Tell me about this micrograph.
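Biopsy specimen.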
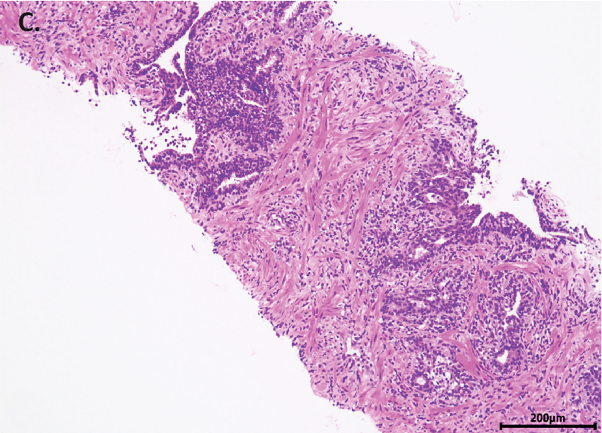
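This is a narrow strip of prostate tissue, with small glands set in a pink fibromuscular stroma and heavily infiltrated by inflammatory cells. The stroma is made of wavy pink bundles of spindle-shaped cells with elongated nuclei. Small glands with narrow lumina are scattered through the strip, lined by epithelial cells with dark purple nuclei. Around and among the glands lie dense sheets of small round dark purple nuclei of inflammatory cells, which crowd the epithelium and spill into the surrounding stroma. One edge of the strip is ragged and bordered by empty white background.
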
